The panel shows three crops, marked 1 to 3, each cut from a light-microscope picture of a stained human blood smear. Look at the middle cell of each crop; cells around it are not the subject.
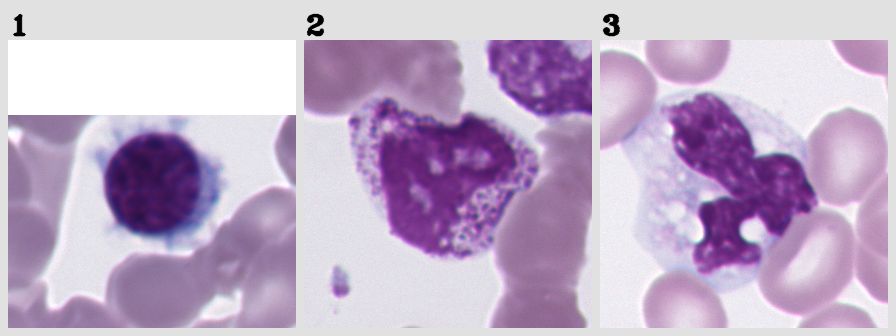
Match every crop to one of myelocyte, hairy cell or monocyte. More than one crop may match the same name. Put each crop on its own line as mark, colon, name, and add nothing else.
1: hairy cell
2: myelocyte
3: monocyte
